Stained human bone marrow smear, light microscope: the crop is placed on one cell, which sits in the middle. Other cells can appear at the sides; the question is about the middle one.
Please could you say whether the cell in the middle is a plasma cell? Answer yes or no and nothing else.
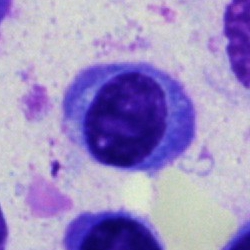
yes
